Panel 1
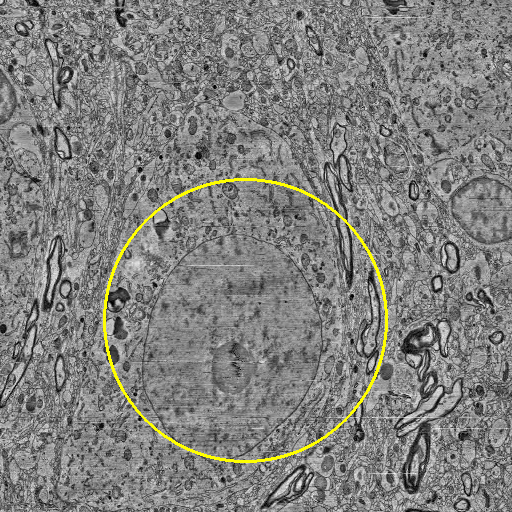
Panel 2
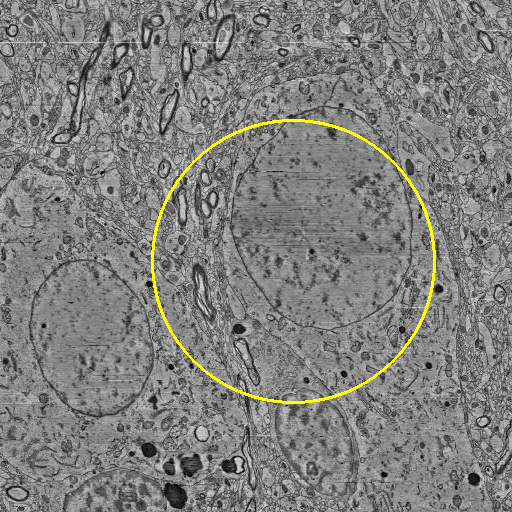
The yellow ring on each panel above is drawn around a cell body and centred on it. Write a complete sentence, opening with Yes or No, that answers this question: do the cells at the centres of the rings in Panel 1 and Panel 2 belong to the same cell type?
Yes, both cells belong to the same cell type.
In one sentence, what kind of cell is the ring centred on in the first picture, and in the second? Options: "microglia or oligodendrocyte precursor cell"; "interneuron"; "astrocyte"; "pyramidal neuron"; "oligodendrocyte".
In each of the two pictures, the ringed cell is a pyramidal neuron.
